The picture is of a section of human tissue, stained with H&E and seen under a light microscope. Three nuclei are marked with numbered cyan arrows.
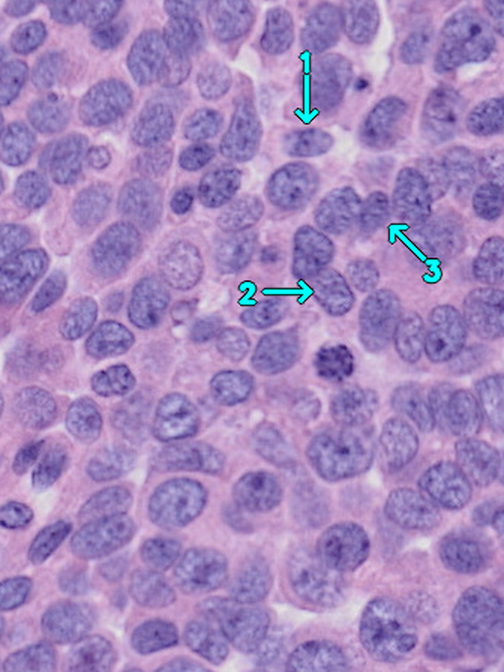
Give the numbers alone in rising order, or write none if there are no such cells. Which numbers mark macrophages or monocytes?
1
